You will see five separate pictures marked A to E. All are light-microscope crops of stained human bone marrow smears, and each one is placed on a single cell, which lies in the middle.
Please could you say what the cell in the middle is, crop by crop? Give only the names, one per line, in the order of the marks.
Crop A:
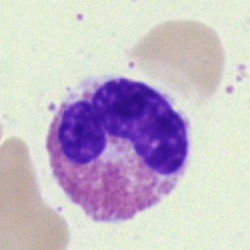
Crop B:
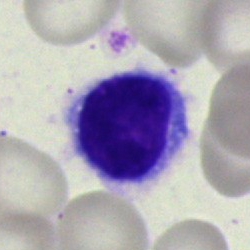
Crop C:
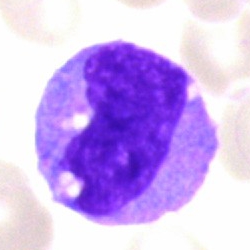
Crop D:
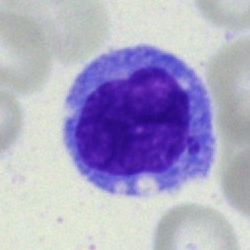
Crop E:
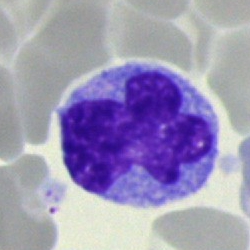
basophil
hairy cell
monocyte
monocyte
monocyte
